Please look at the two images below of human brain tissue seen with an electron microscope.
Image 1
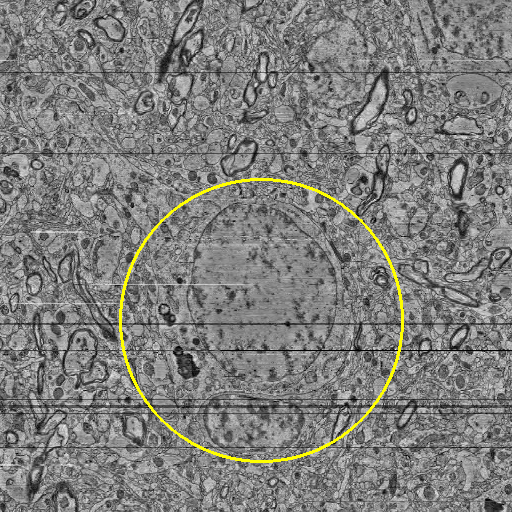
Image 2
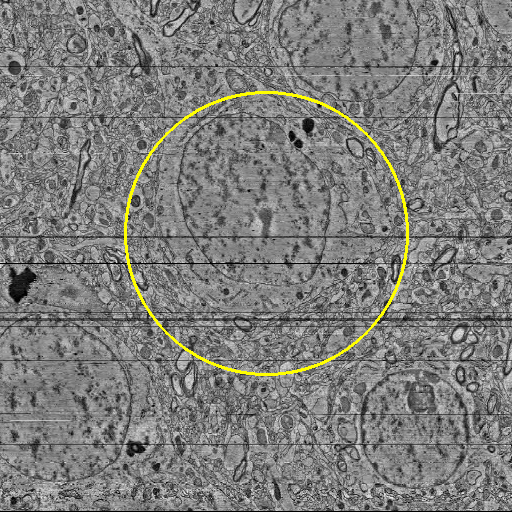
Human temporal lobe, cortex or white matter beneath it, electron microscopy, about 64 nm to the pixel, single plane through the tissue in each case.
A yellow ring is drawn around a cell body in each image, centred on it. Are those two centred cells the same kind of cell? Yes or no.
yes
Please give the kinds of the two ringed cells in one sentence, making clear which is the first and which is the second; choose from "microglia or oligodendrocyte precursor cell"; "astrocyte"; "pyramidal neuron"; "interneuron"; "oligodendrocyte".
In the first picture and in the second, the ring is centred on a pyramidal neuron.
